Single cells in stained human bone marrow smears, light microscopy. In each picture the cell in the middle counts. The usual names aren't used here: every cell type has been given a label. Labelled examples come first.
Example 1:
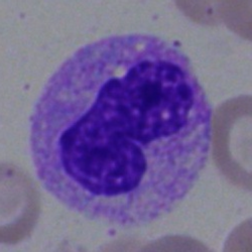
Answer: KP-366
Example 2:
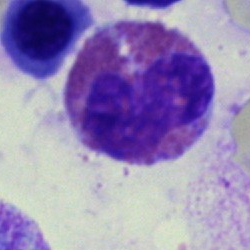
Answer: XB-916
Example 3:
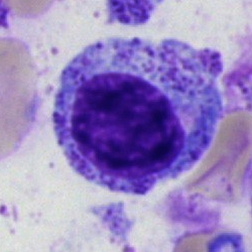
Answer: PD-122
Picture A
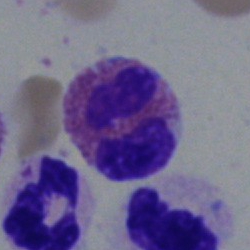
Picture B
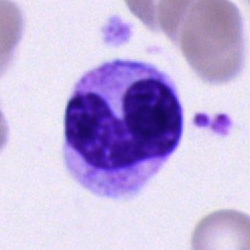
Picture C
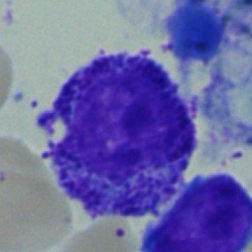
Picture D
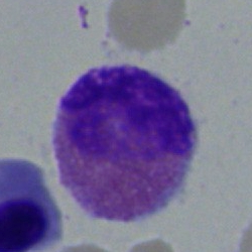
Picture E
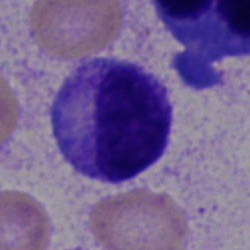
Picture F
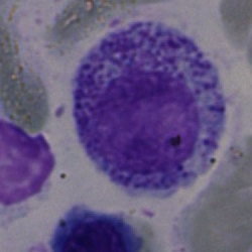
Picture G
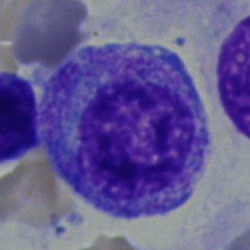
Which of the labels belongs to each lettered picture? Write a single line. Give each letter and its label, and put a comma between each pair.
A XB-916, B KP-366, C PD-122, D XB-916, E PD-122, F PD-122, G PD-122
